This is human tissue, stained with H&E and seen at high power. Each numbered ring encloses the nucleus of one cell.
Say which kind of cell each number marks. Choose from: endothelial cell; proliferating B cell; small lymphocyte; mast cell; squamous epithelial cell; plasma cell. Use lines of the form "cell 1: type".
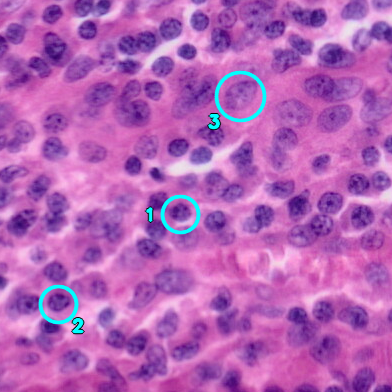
cell 1: plasma cell
cell 2: plasma cell
cell 3: endothelial cell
